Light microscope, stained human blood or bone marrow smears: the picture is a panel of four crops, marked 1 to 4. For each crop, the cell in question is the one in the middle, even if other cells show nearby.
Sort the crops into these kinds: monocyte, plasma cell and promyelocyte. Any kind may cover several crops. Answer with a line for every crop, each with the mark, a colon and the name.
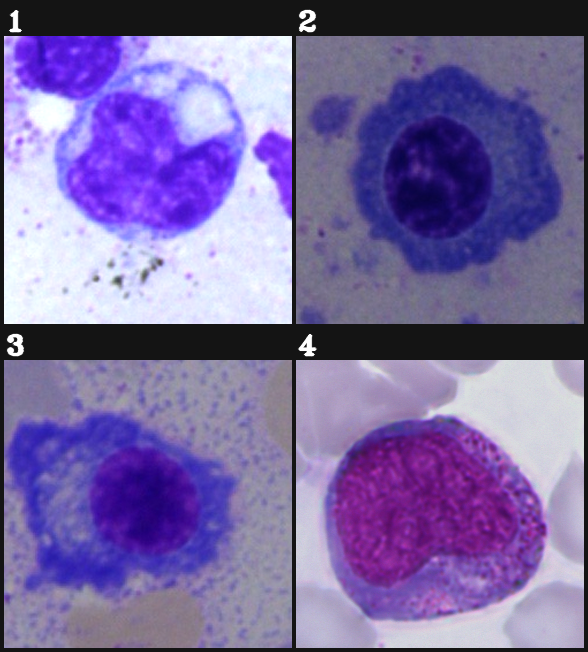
1: monocyte
2: plasma cell
3: plasma cell
4: promyelocyte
